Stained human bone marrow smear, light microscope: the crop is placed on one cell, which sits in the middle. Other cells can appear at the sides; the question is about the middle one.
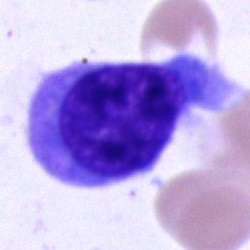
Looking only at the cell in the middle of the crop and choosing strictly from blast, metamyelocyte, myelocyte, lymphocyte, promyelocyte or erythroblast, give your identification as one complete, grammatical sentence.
This crop is built around a promyelocyte at its centre.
